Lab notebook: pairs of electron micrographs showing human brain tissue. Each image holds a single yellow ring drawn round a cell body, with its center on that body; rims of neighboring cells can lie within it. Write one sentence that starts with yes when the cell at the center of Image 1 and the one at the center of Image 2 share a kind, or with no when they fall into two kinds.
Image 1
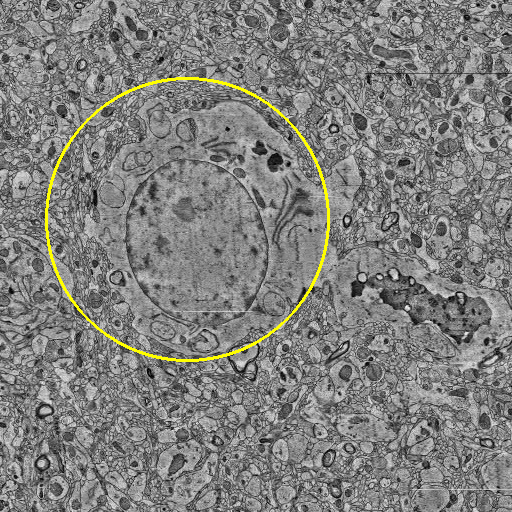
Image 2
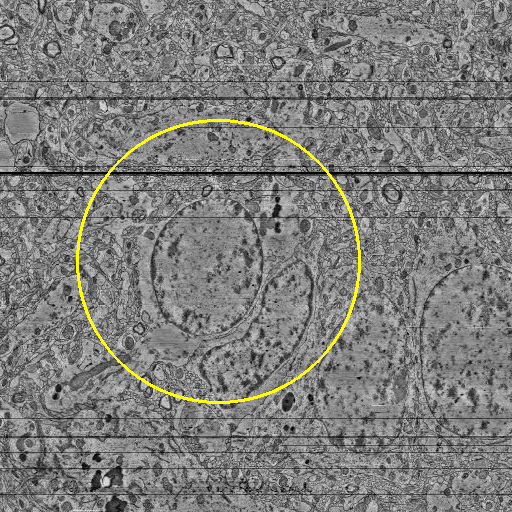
Yes, the centered cell in Image 1 and the centered cell in Image 2 are of one kind.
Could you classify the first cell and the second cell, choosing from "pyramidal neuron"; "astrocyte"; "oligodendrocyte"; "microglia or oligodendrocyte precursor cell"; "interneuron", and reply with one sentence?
The ring centre holds an astrocyte in each of the two pictures.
